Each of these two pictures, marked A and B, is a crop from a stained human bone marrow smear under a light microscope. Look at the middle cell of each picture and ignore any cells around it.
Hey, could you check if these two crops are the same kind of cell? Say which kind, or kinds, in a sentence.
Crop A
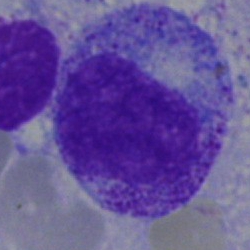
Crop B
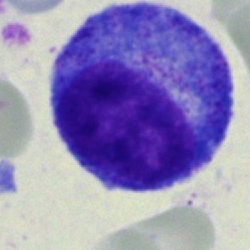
Yes, both crops show promyelocytes, and nothing else needs adding.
